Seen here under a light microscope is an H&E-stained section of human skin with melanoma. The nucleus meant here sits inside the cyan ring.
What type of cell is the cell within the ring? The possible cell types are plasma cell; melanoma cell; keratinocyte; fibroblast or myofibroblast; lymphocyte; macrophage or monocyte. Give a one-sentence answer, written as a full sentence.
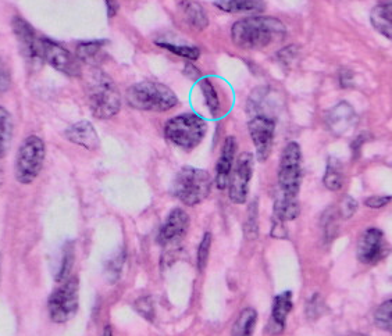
In cell-type terms, the cell within the ring is a melanoma cell.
